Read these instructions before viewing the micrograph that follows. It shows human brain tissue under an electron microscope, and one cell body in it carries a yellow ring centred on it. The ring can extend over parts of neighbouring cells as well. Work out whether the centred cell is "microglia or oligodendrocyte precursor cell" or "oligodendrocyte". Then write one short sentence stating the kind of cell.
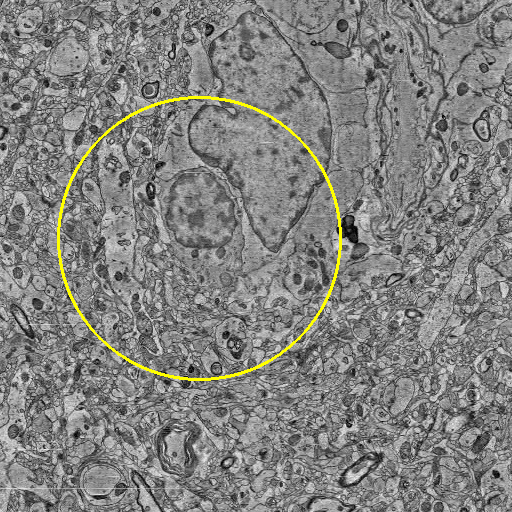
The ringed cell is an oligodendrocyte.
